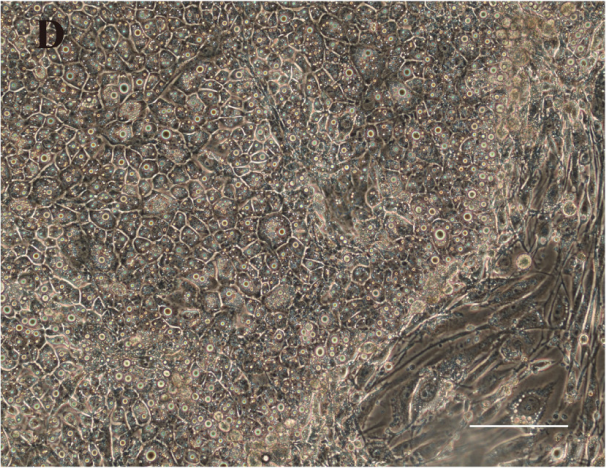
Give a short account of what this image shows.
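The cells are flat and polygonal, packed edge to edge so that their bright outlines form a cobblestone pattern. Many cells contain small round refractile bodies, giving the colony a speckled look. At the lower right the colony meets a different population of long, spindle-shaped cells that lie parallel in bundles. The contrast between the tightly joined polygonal sheet and the loose elongated cells marks the colony's edge.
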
